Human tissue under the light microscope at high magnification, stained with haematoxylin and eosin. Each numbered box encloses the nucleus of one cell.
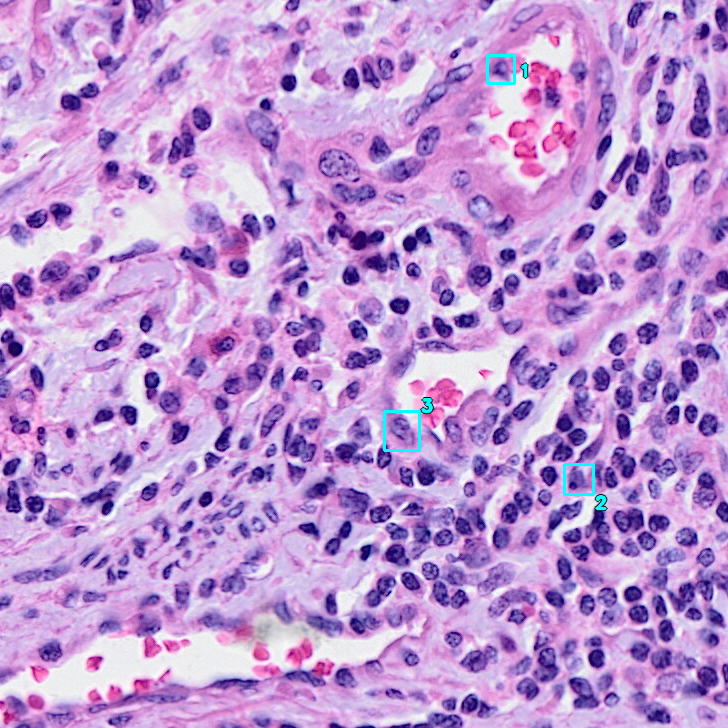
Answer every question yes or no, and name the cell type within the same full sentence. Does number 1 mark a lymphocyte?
No, rather than a lymphocyte, cell number 1 is an endothelial cell.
